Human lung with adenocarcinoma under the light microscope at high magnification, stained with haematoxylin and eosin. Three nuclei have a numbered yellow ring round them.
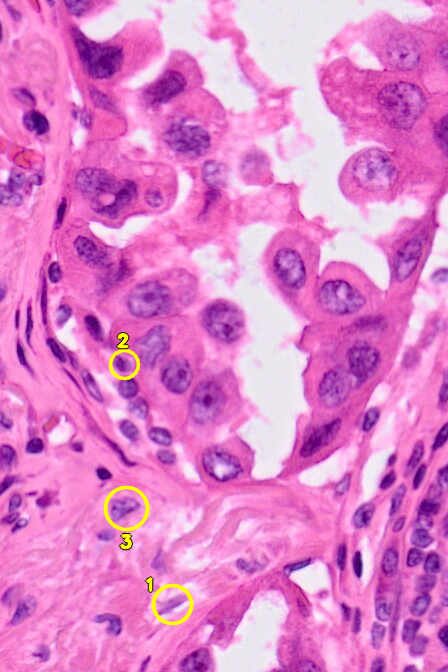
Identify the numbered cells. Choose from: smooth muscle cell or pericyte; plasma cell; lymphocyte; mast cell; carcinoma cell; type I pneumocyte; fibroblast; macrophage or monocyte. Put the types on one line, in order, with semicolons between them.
fibroblast; lymphocyte; fibroblast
